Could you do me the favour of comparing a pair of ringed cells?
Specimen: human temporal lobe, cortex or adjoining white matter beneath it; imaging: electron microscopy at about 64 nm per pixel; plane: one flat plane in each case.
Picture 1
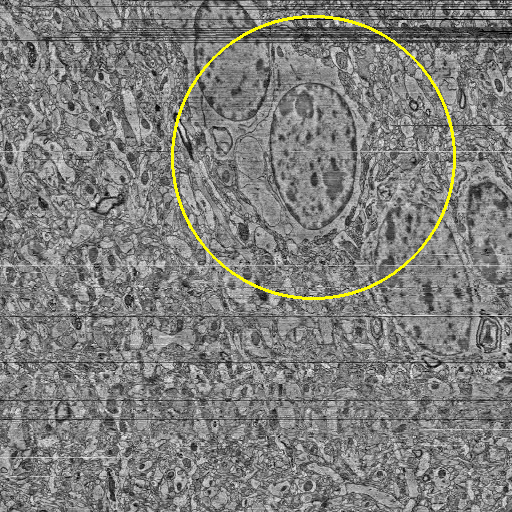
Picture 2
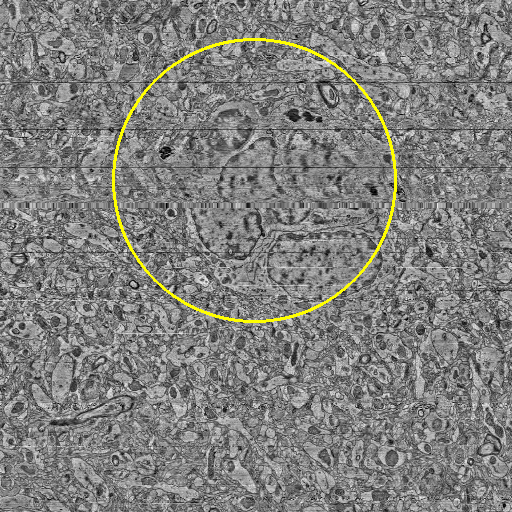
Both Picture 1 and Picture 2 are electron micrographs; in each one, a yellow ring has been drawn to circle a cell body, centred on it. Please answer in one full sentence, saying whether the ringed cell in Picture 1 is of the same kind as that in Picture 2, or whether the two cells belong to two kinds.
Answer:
The ringed cells in Picture 1 and Picture 2 belong to two kinds.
